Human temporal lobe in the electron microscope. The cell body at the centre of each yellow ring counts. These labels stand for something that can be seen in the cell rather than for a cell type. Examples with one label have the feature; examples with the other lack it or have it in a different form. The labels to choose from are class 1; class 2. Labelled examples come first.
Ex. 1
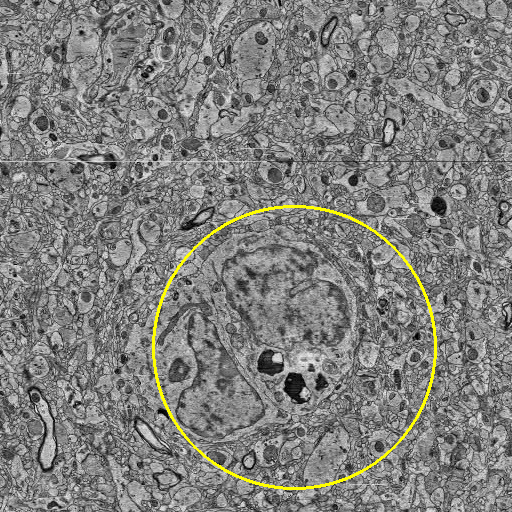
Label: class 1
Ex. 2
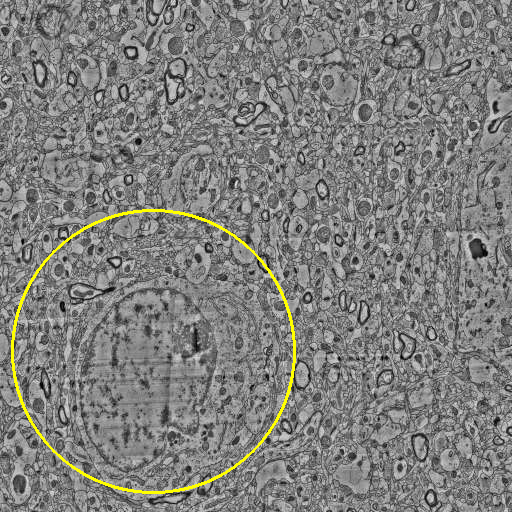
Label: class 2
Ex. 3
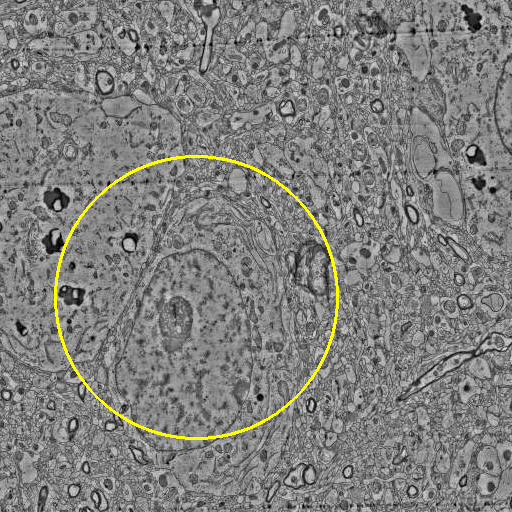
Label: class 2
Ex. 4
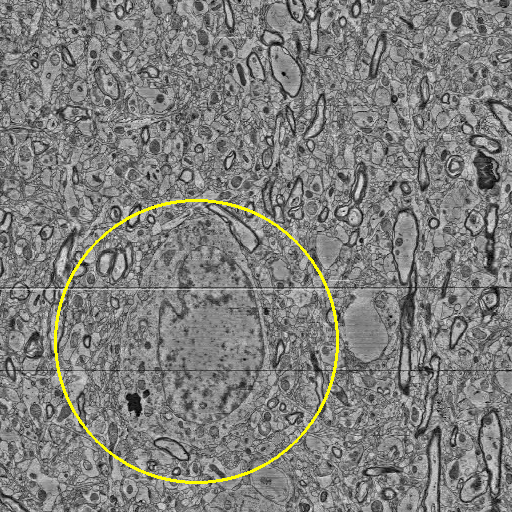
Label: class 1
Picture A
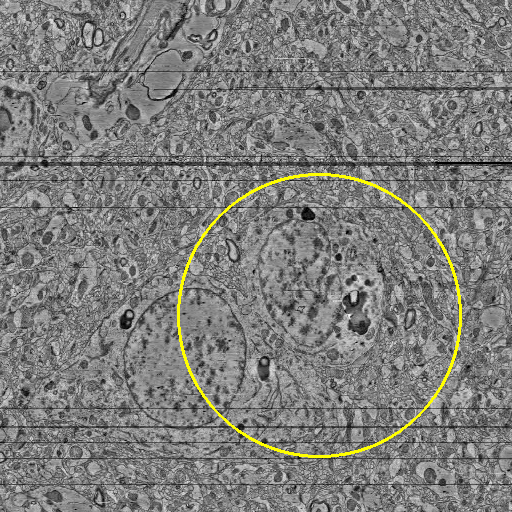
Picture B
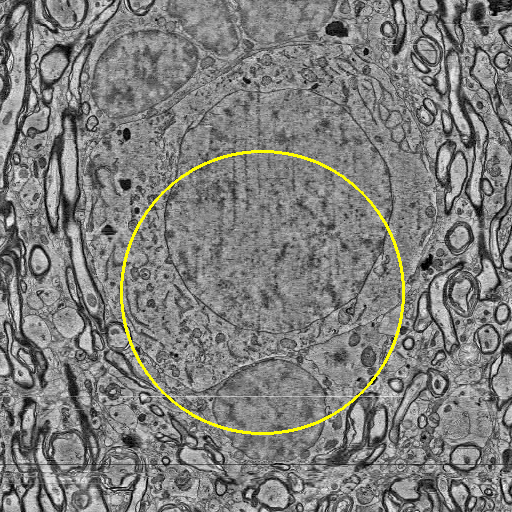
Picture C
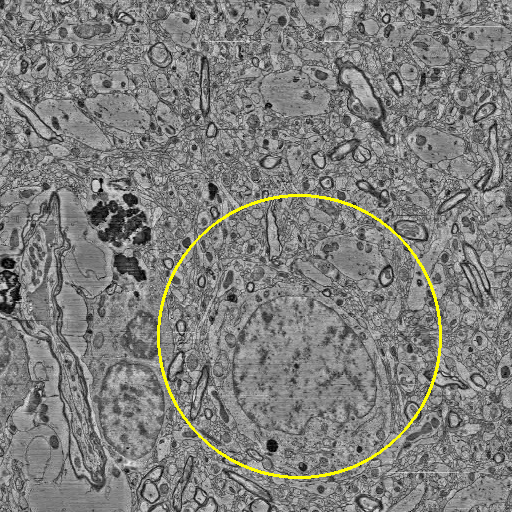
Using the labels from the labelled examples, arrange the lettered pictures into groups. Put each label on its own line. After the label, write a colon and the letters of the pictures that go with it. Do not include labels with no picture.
class 2: A, B, C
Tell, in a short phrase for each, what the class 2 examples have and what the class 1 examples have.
Seen in class 2: smooth nuclear envelopes without deep folds; seen in class 1: deeply folded or indented nuclear envelopes.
